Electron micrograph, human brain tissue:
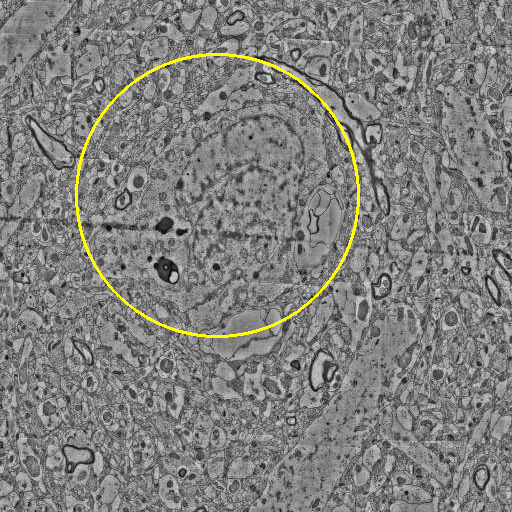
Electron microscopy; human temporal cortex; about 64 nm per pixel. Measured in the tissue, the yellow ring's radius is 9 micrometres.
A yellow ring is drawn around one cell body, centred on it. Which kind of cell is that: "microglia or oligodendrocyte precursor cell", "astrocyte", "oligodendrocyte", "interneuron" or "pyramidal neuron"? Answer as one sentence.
It is an interneuron at the centre of the ring.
